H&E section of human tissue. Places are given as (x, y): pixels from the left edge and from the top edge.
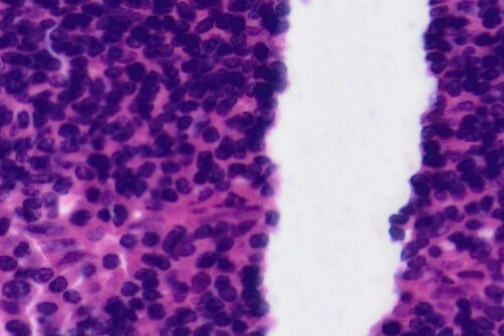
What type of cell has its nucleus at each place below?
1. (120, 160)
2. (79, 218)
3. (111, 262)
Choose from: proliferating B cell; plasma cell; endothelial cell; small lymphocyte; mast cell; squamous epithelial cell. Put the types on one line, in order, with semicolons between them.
small lymphocyte; plasma cell; plasma cell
